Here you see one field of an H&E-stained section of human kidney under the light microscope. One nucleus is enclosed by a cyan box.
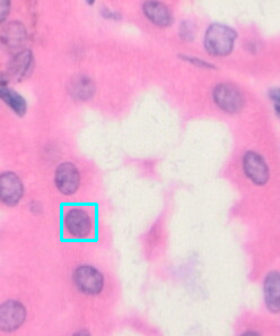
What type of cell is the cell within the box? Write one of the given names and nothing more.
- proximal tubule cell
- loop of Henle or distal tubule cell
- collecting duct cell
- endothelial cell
proximal tubule cell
